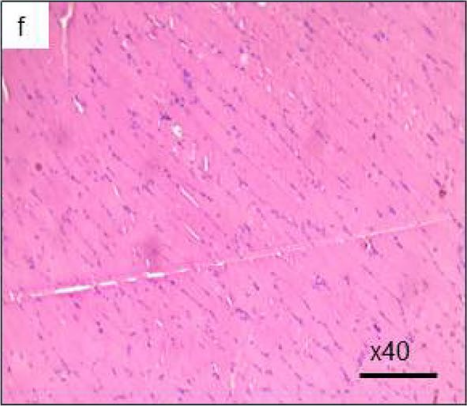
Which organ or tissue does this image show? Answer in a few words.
Skeletal muscle fibers.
